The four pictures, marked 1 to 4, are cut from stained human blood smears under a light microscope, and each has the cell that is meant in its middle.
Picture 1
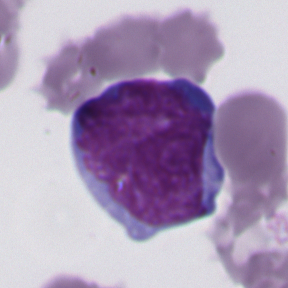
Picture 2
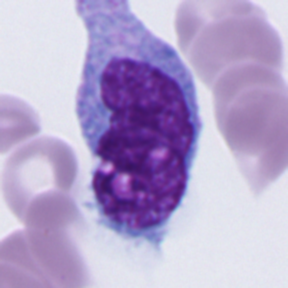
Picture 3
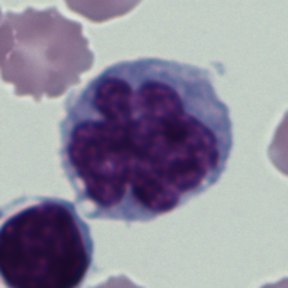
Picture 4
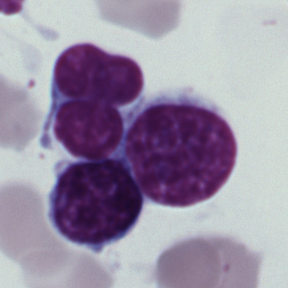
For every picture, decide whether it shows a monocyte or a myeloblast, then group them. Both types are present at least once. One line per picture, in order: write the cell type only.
myeloblast
monocyte
monocyte
myeloblast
